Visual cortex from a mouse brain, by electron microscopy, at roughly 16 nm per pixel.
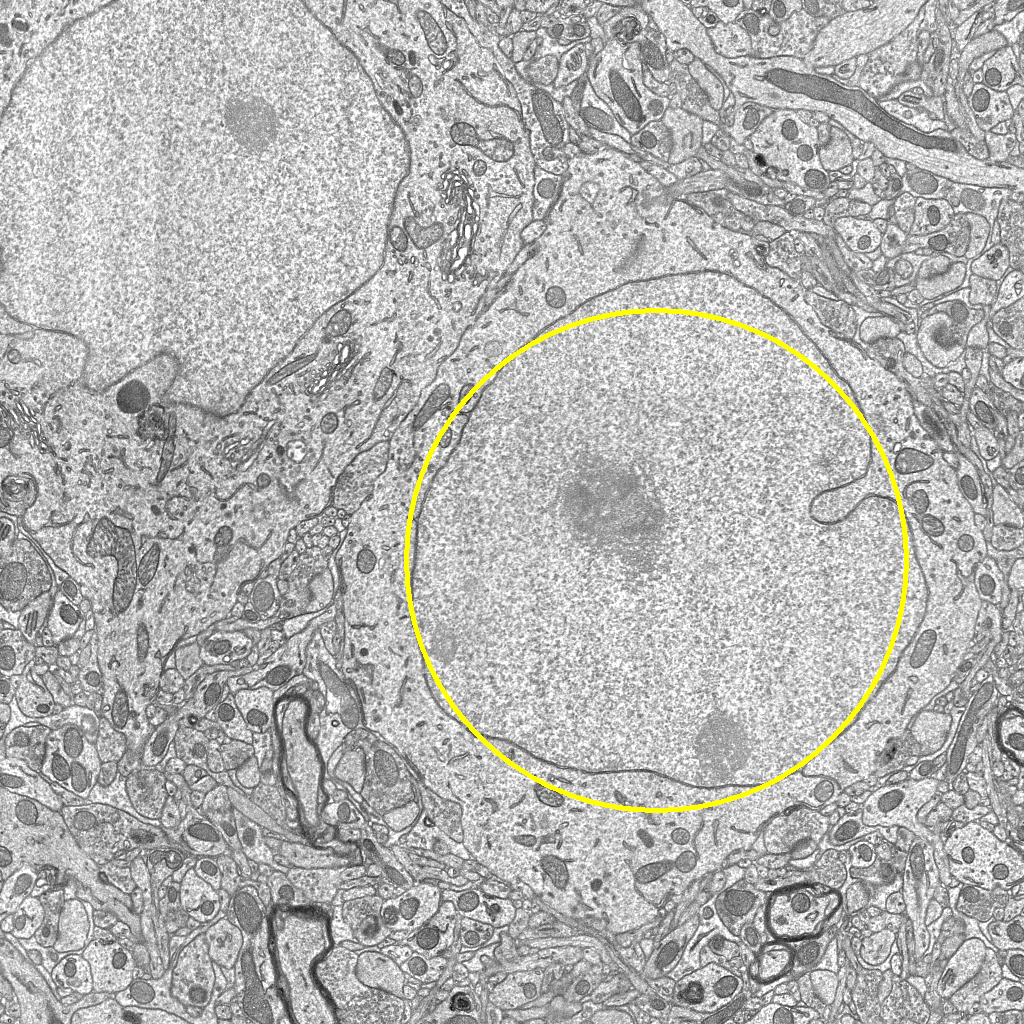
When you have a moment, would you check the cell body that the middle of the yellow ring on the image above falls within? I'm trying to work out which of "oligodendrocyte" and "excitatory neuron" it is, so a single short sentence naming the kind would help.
This cell body belongs to an excitatory neuron.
